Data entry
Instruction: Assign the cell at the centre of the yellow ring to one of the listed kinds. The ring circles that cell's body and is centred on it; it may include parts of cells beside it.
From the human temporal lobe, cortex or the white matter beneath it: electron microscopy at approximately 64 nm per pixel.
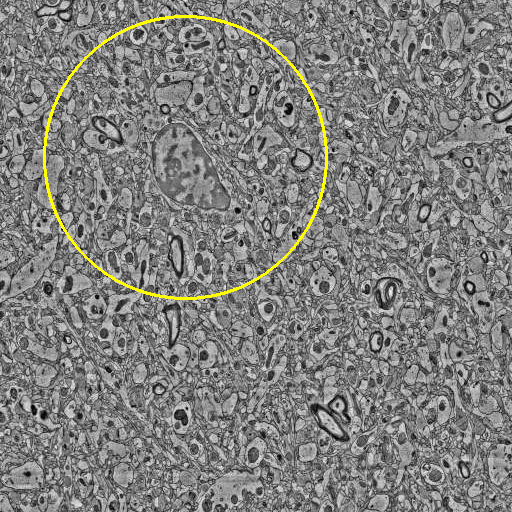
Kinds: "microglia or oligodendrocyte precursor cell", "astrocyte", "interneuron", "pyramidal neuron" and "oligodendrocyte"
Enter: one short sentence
The centre of the ring falls on a microglial cell or oligodendrocyte precursor cell.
